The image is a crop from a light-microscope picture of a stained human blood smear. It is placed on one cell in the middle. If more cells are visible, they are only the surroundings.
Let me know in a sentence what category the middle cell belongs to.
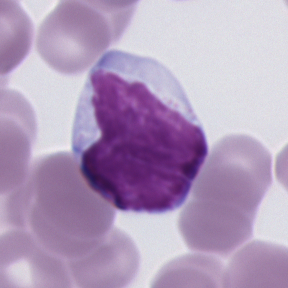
By type, the central cell of the crop is a large granular lymphocyte.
